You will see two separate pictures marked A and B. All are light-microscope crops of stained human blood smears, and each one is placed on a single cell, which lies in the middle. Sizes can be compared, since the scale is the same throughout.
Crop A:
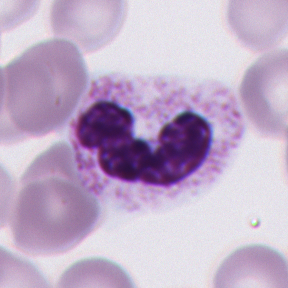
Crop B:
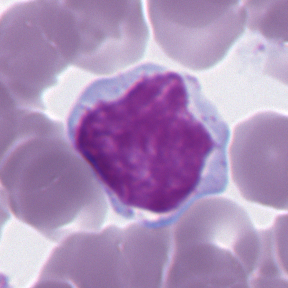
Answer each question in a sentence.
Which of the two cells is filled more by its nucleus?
Of the two, the nucleus in crop B makes up the greater part of its cell.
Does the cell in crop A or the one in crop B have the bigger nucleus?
Larger is the nucleus in crop B, at roughly 2 times the area of the other.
